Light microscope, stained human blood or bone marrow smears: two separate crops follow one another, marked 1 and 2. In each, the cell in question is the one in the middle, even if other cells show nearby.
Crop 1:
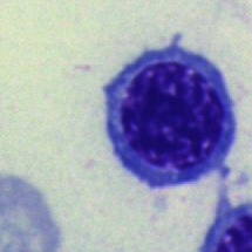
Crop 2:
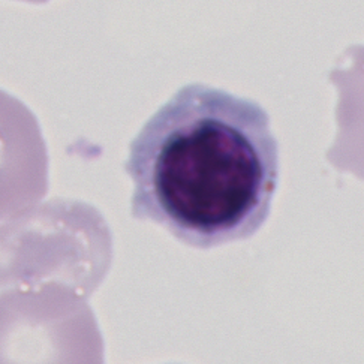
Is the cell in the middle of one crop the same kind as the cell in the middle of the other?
yes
